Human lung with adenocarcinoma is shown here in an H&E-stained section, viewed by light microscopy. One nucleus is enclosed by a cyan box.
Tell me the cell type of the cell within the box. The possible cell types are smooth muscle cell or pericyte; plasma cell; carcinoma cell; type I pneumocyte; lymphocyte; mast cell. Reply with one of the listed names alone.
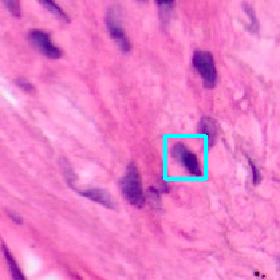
smooth muscle cell or pericyte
